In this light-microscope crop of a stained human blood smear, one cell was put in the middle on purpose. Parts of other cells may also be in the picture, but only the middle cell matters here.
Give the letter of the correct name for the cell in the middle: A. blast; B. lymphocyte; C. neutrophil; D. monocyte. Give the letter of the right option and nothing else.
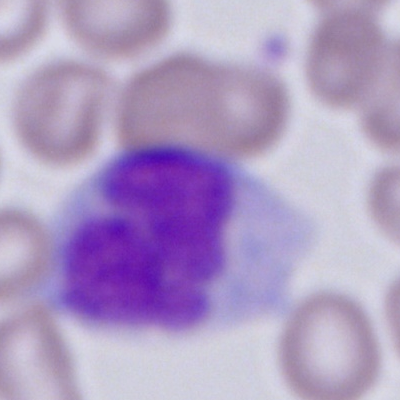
D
